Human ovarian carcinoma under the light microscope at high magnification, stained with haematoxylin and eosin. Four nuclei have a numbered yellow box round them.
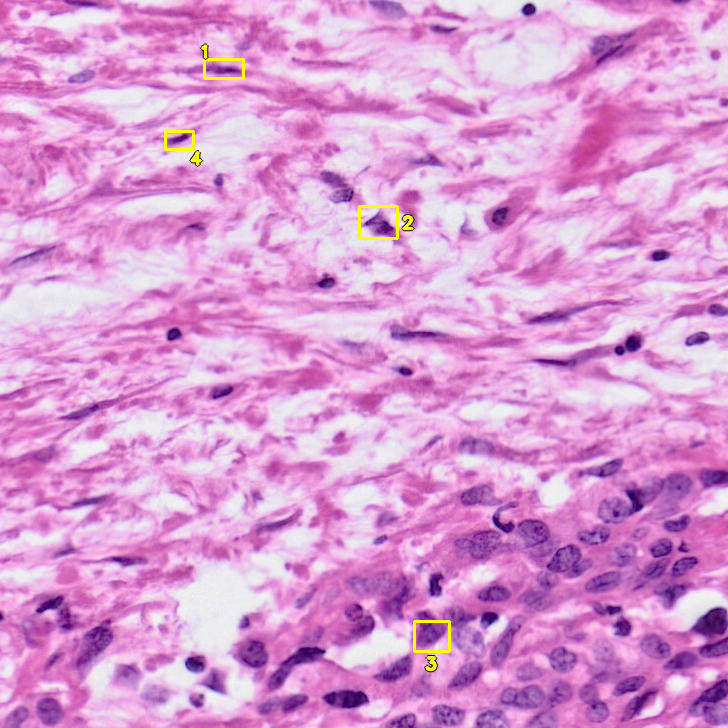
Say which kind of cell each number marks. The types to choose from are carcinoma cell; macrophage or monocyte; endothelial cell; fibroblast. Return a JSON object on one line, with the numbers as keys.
{"1": "fibroblast", "2": "fibroblast", "3": "carcinoma cell", "4": "fibroblast"}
